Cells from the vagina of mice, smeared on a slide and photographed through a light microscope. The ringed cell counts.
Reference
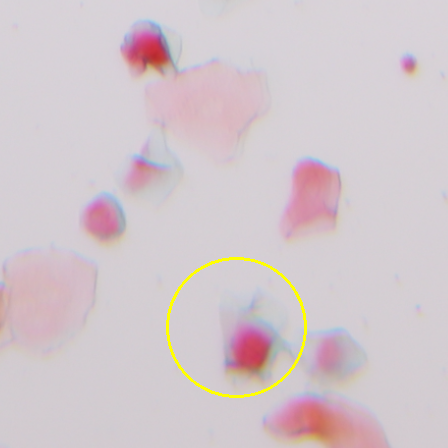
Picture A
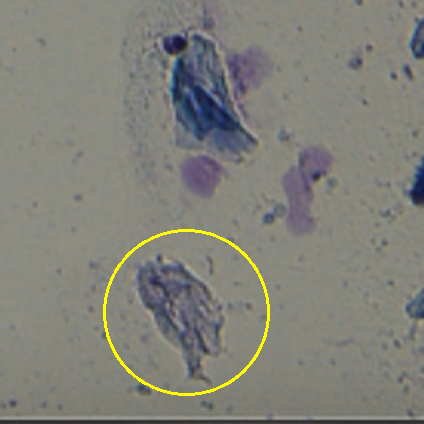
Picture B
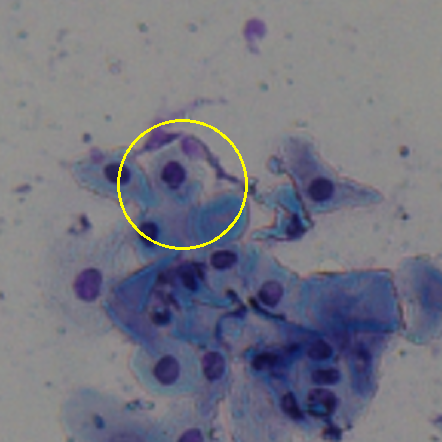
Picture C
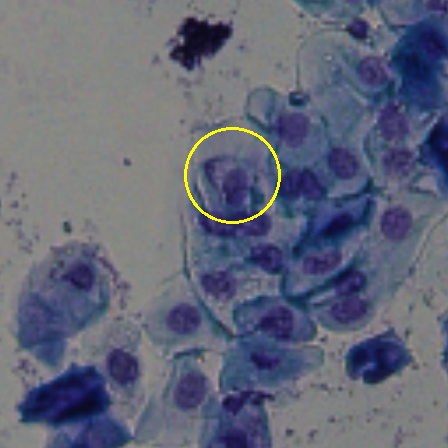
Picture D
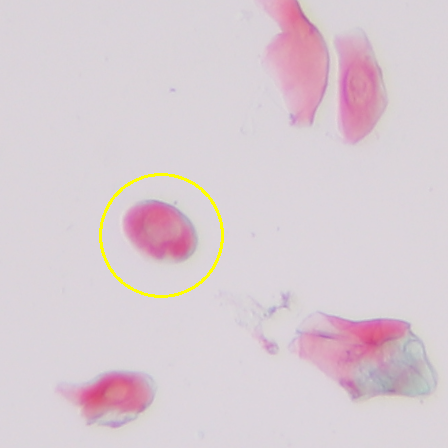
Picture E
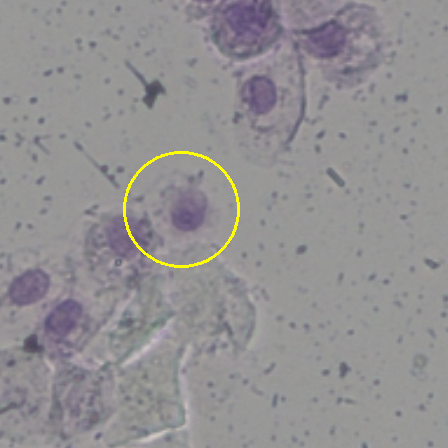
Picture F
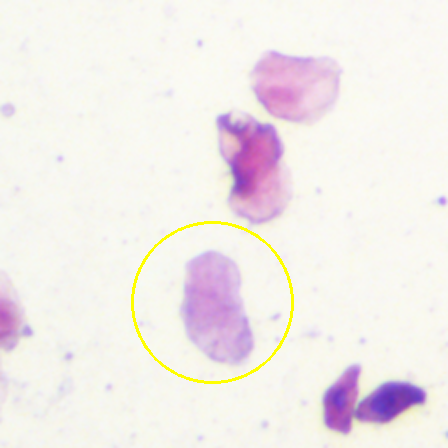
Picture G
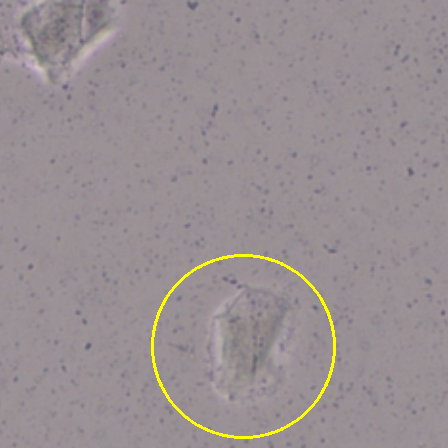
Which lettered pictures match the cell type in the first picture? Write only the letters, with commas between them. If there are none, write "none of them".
B, C, D, E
